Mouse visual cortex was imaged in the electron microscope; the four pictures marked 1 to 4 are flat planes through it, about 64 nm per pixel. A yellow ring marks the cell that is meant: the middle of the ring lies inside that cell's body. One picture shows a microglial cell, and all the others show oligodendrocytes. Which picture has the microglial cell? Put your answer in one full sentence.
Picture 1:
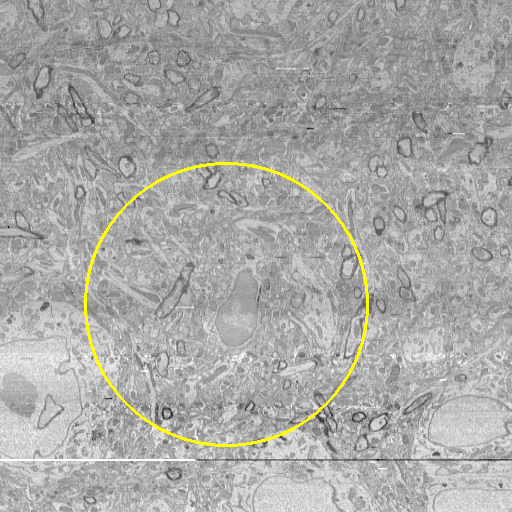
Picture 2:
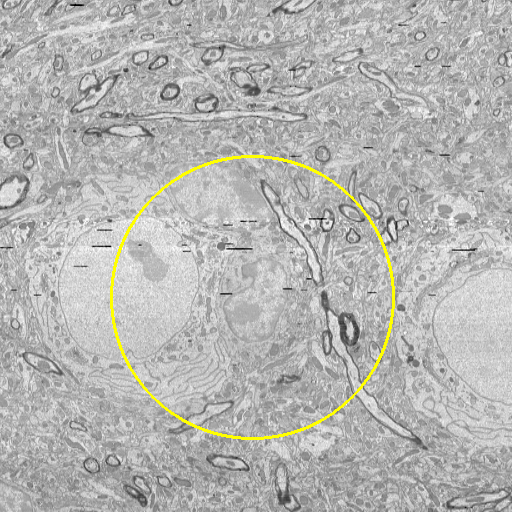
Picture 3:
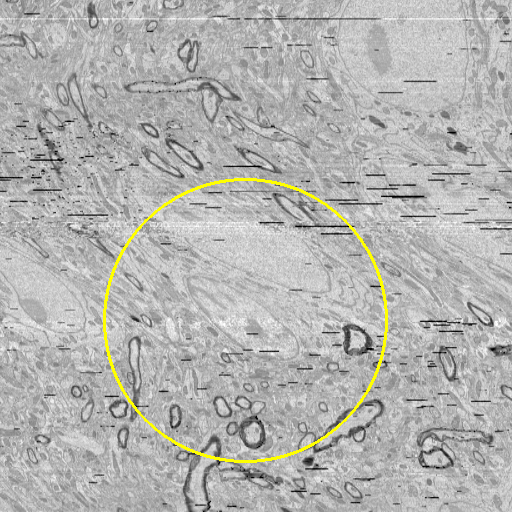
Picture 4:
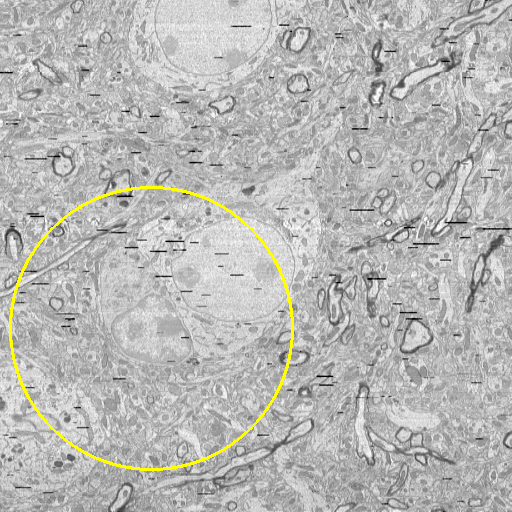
Picture 1 shows the microglial cell.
